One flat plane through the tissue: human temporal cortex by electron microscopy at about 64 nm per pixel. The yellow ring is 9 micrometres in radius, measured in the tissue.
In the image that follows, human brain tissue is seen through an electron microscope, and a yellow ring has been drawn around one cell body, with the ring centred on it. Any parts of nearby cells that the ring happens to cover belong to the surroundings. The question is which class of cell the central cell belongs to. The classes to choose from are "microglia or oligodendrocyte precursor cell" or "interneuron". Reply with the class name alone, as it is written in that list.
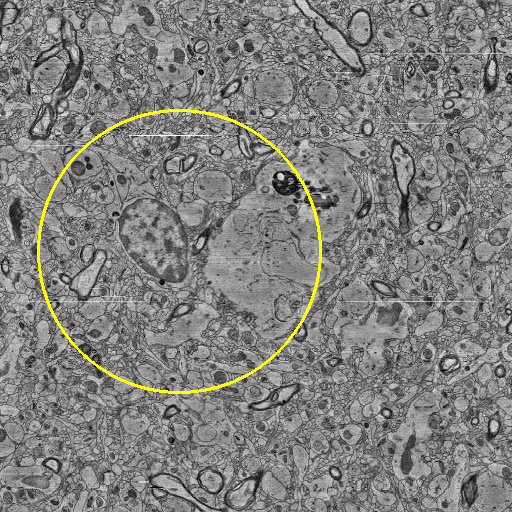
microglia or oligodendrocyte precursor cell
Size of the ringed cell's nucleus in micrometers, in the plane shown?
About 6 by 4 micrometres in this plane; clearly longer than it is wide.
